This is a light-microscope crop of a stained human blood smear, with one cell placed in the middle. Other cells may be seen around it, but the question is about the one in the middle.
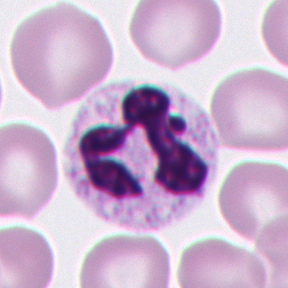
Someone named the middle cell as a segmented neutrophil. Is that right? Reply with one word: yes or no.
yes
